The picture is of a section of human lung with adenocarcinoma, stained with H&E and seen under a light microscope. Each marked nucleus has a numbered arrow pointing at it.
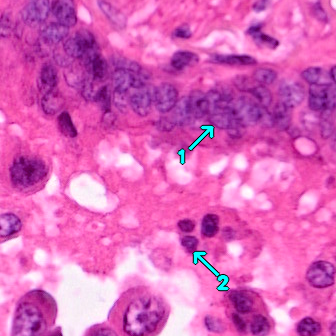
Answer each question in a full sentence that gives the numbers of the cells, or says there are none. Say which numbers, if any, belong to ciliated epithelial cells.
Cell 1 is a ciliated epithelial cell, which is true of none of the other numbered cells.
